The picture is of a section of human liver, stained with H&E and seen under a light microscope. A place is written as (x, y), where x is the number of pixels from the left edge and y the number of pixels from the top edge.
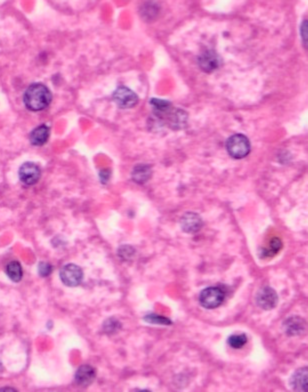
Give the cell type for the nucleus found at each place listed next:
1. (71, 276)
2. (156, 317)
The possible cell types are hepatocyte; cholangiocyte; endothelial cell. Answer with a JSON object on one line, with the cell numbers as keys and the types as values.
{"1": "hepatocyte", "2": "endothelial cell"}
